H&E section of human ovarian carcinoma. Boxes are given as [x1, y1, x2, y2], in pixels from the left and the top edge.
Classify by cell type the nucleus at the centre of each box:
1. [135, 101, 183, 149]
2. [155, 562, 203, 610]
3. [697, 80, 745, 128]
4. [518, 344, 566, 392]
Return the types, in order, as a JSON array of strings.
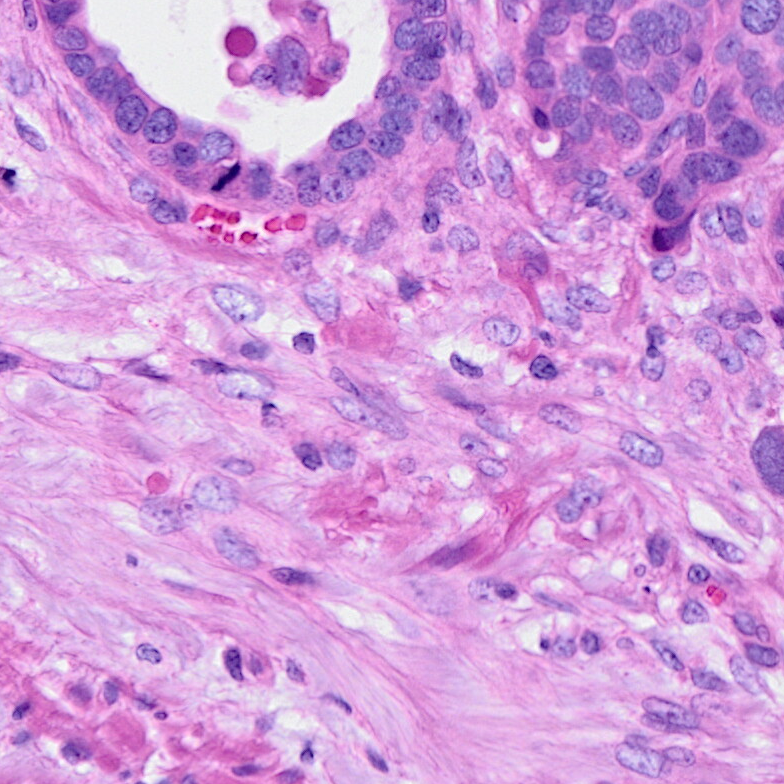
["carcinoma cell", "fibroblast", "carcinoma cell", "macrophage or monocyte"]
